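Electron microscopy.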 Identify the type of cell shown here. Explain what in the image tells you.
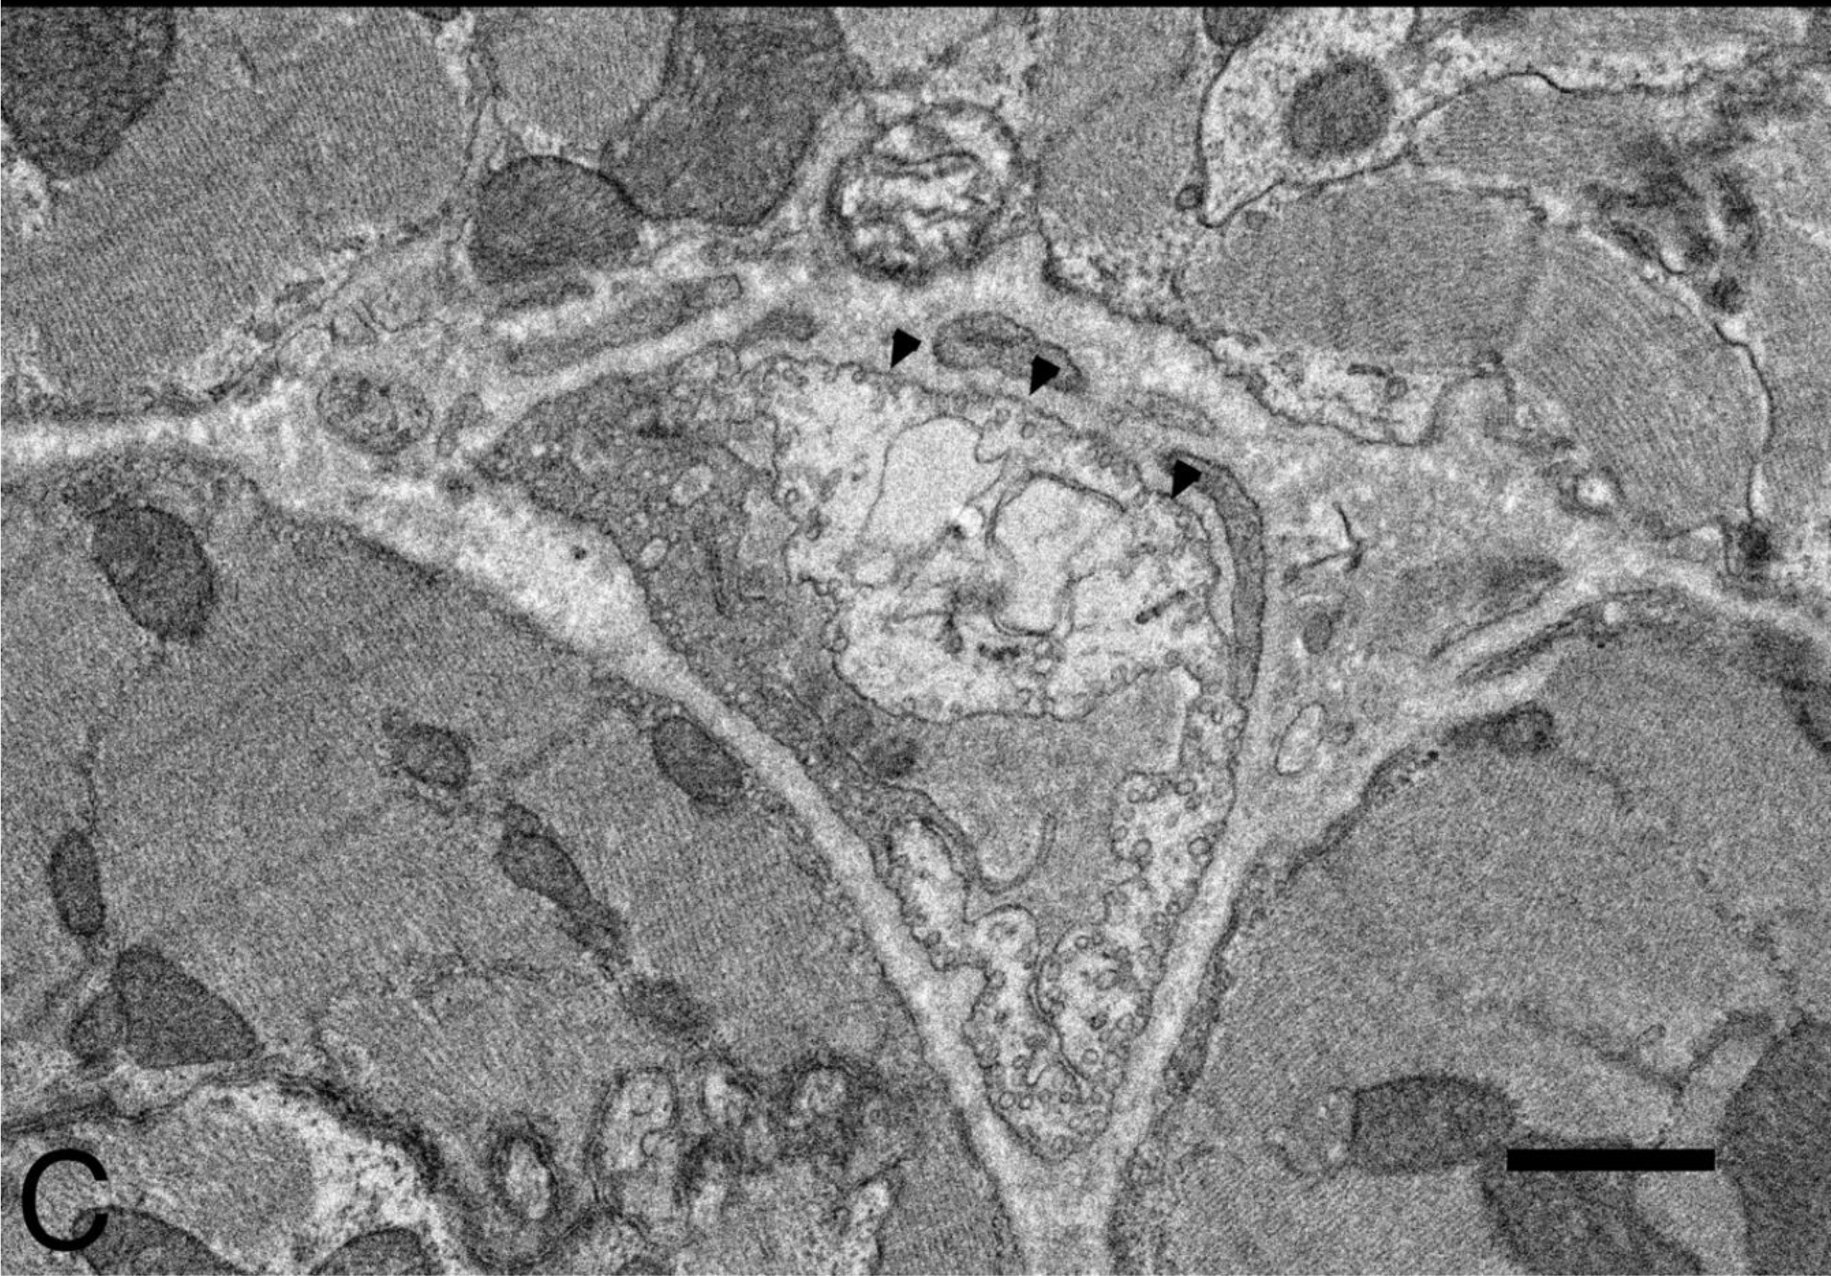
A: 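Thin cells line a small vessel lumen that lies between striated muscle cells. The vessel wall is formed by a thin layer of cytoplasm with many small vesicles. The answer: capillary endothelial cells.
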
